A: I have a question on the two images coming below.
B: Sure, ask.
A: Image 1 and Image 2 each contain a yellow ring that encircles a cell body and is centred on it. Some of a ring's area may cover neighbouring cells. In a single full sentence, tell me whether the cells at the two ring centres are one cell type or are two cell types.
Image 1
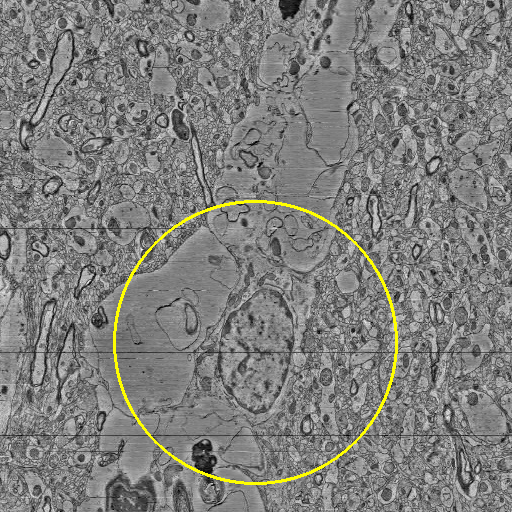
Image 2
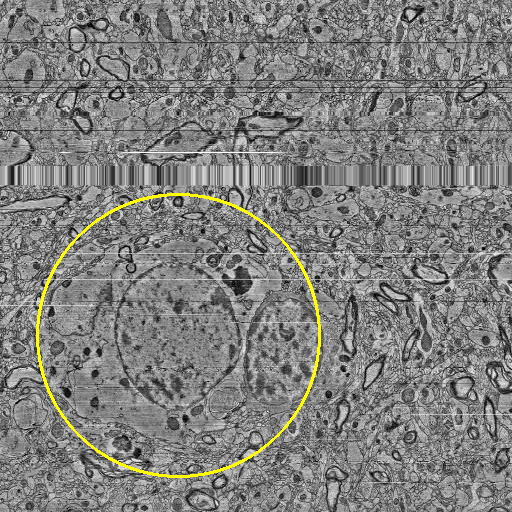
As for the ring-centre cells, the one in Image 1 and the one in Image 2 are two cell types.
